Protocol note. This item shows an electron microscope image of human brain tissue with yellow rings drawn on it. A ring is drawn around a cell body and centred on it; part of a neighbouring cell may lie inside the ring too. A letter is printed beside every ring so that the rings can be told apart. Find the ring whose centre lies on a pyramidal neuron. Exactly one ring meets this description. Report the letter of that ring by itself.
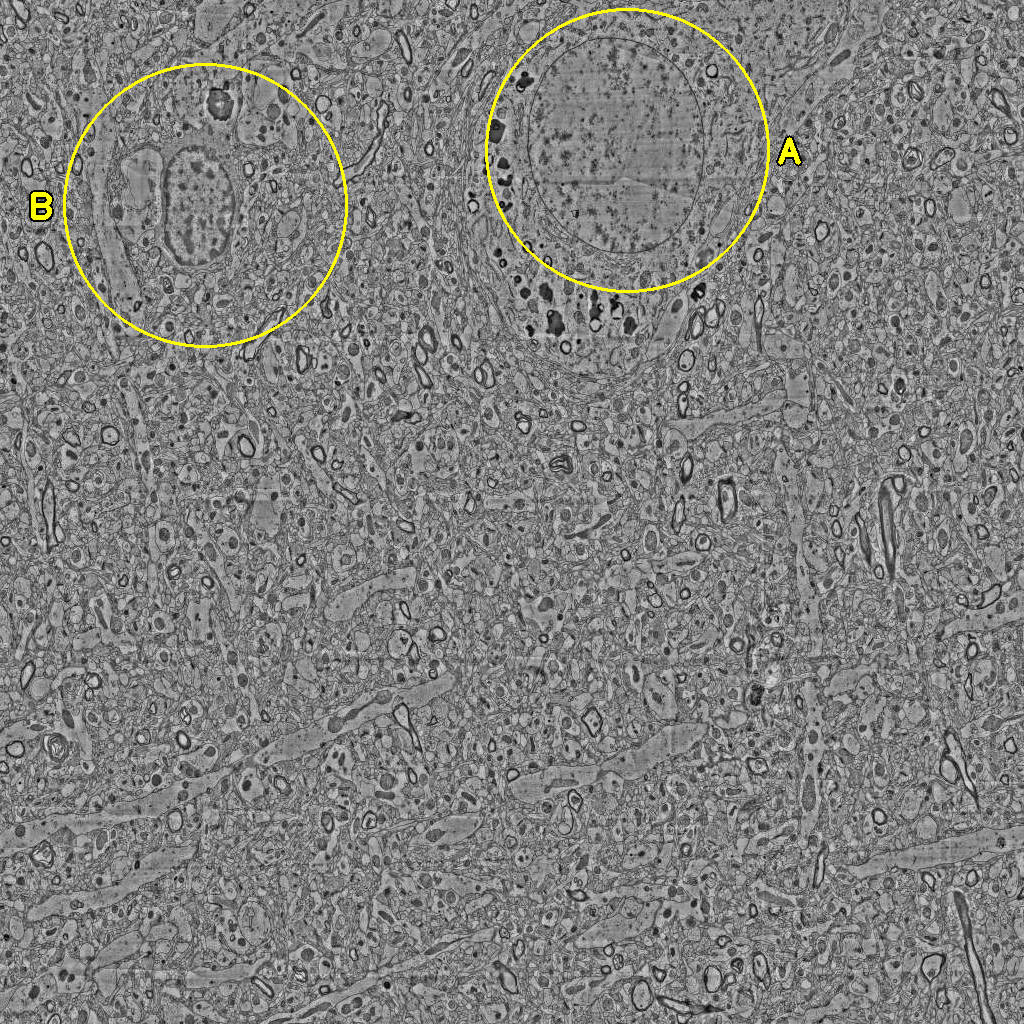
A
